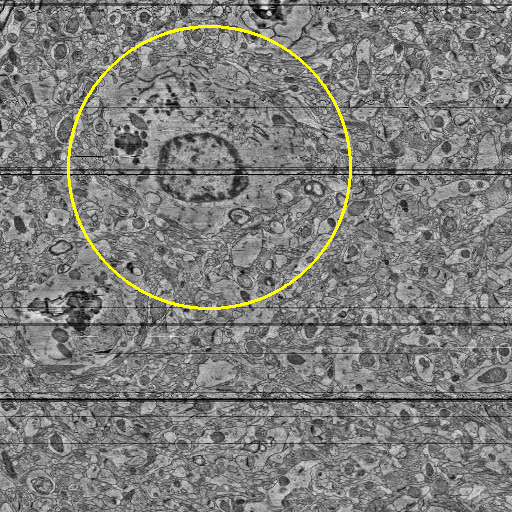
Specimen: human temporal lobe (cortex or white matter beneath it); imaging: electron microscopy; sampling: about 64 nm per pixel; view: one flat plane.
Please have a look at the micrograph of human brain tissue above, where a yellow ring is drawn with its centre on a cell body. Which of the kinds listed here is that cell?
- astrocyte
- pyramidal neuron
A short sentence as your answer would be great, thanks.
At the centre of the ring sits an astrocyte.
